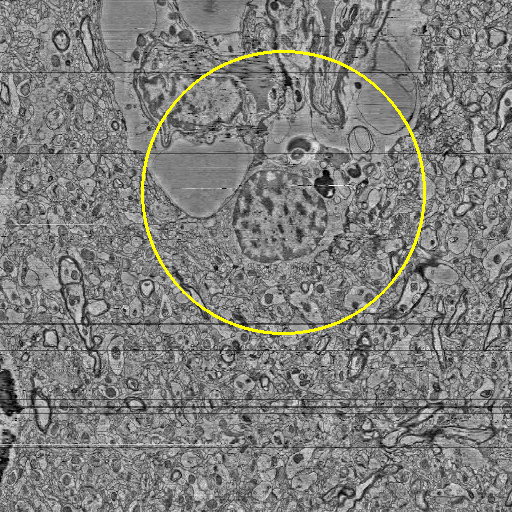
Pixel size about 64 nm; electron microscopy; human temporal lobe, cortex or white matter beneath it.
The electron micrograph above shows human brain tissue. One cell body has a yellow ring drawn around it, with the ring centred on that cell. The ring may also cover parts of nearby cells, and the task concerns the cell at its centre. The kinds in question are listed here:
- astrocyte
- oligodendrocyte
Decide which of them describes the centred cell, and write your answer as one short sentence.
The centred cell is an oligodendrocyte.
